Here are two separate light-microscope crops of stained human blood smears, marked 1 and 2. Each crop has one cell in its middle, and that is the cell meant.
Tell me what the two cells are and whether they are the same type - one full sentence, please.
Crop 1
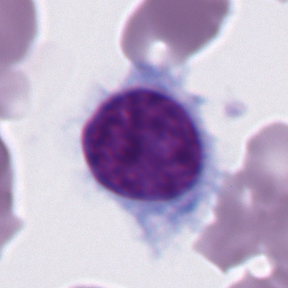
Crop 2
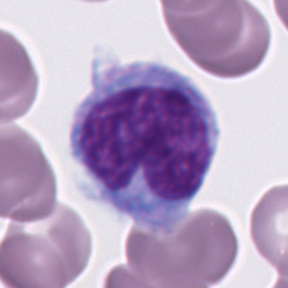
No, a hairy cell is centred in crop 1, and a monocyte is centred in crop 2.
